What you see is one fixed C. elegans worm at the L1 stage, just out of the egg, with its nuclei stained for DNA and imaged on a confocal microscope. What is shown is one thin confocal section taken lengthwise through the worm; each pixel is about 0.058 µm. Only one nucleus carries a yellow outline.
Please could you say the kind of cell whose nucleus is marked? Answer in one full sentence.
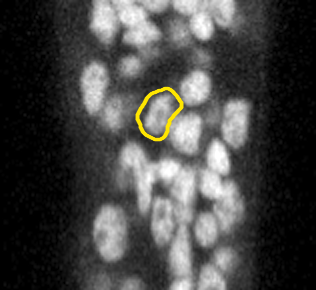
The marked nucleus belongs to a pharyngeal muscle cell.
